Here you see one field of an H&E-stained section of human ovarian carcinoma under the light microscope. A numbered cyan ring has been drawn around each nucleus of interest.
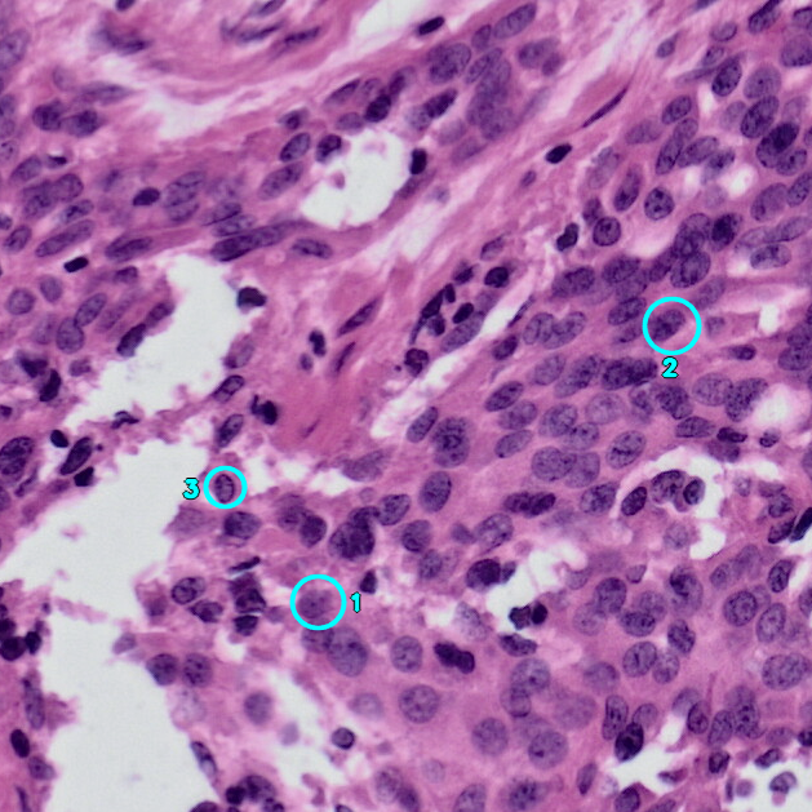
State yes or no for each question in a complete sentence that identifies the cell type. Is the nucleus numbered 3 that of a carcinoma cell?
No, number 3 points to a macrophage or monocyte and not to a carcinoma cell.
